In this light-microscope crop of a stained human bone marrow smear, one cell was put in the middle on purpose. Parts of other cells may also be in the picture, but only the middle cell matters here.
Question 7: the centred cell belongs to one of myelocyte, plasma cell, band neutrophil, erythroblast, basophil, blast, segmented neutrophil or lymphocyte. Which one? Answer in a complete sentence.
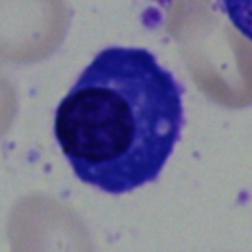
Classification of the middle cell gives a plasma cell.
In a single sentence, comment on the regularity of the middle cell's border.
An uneven margin is present, with either ragged stretches or outward projections.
